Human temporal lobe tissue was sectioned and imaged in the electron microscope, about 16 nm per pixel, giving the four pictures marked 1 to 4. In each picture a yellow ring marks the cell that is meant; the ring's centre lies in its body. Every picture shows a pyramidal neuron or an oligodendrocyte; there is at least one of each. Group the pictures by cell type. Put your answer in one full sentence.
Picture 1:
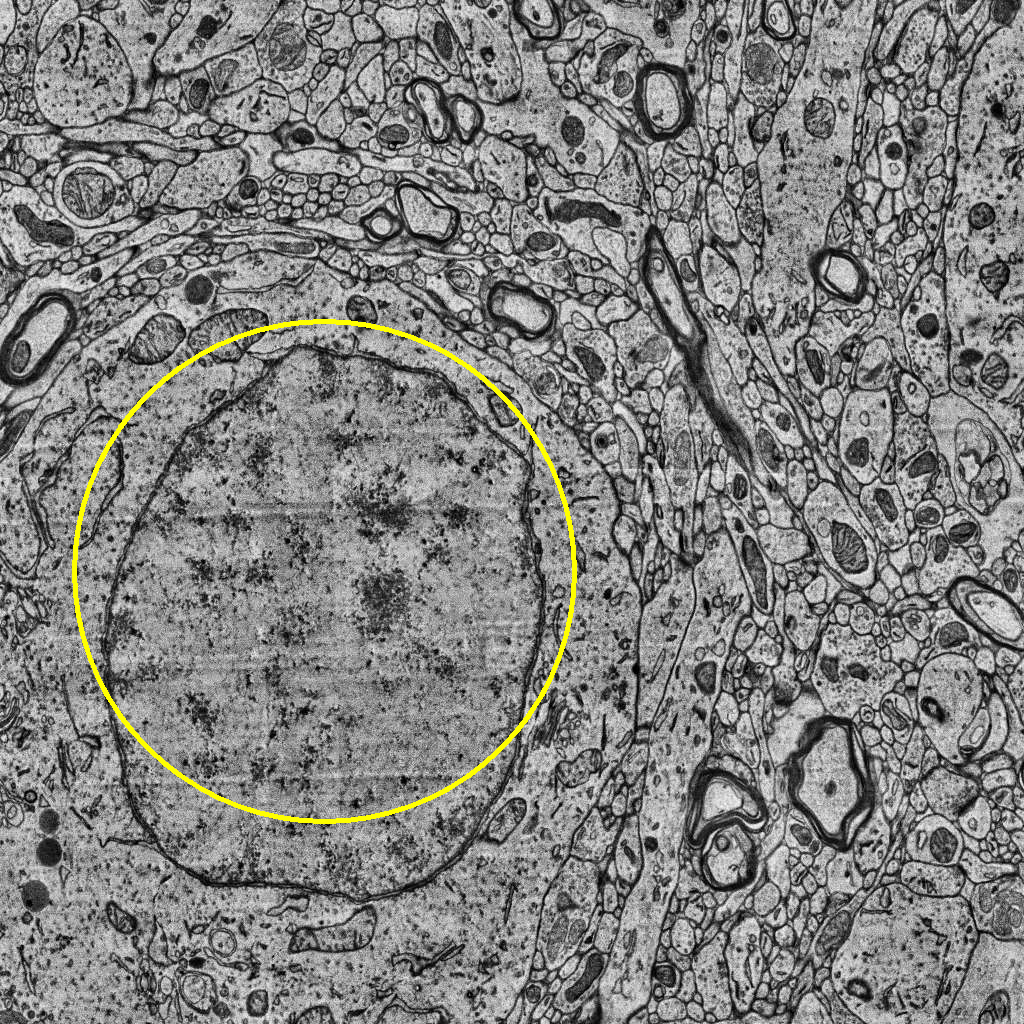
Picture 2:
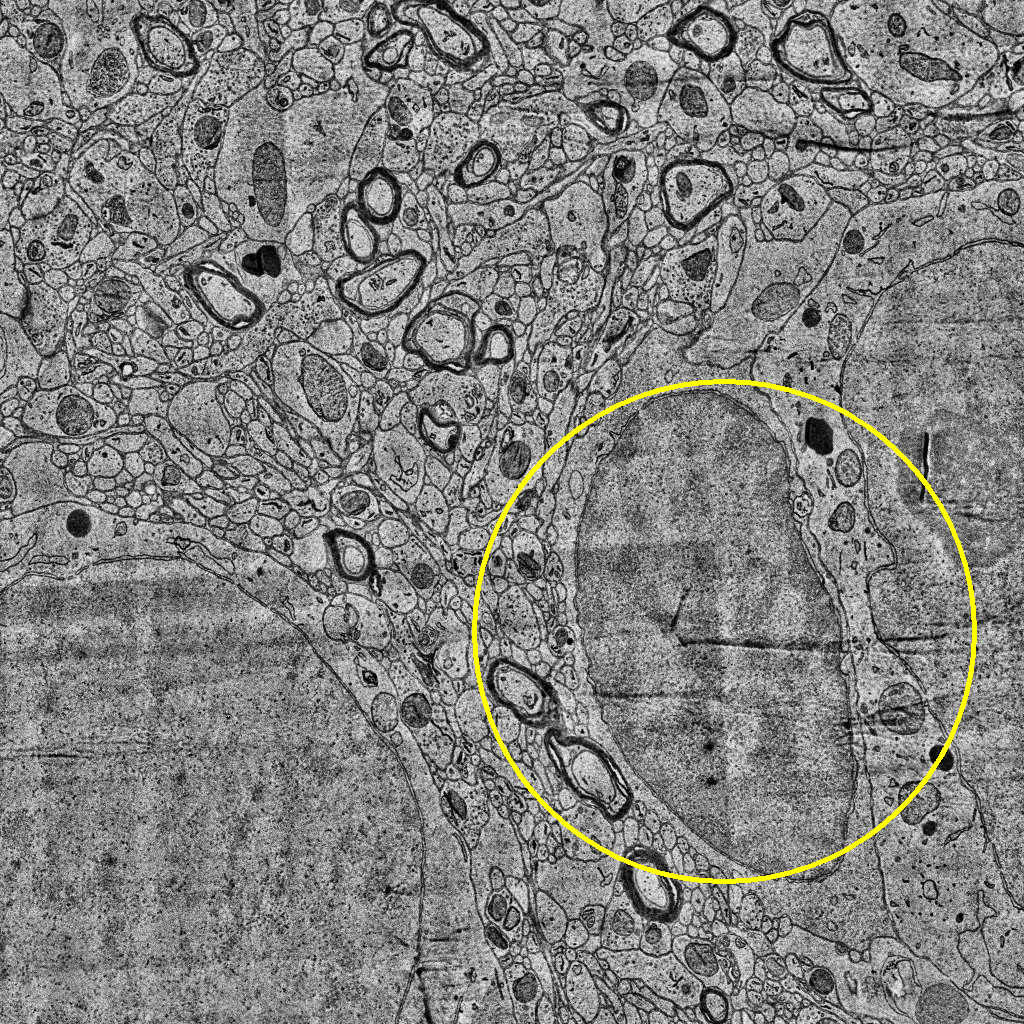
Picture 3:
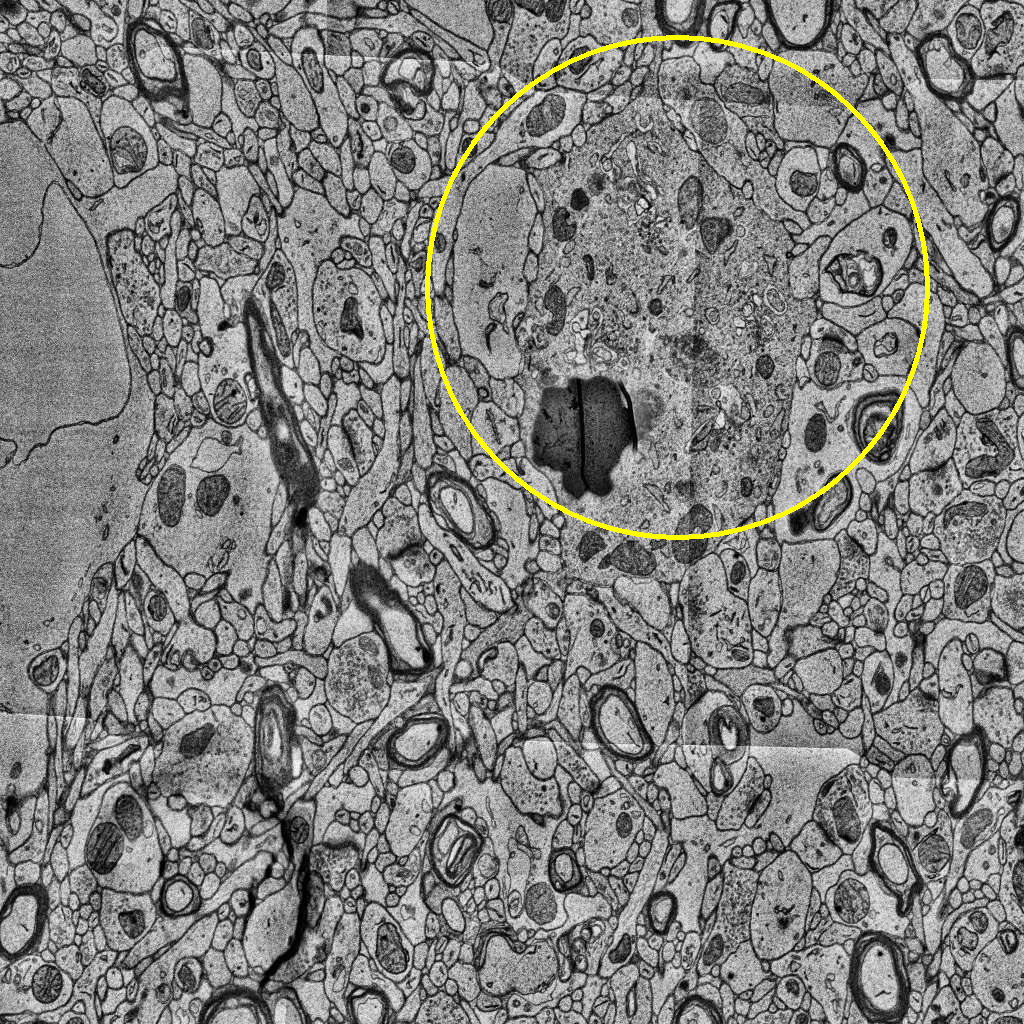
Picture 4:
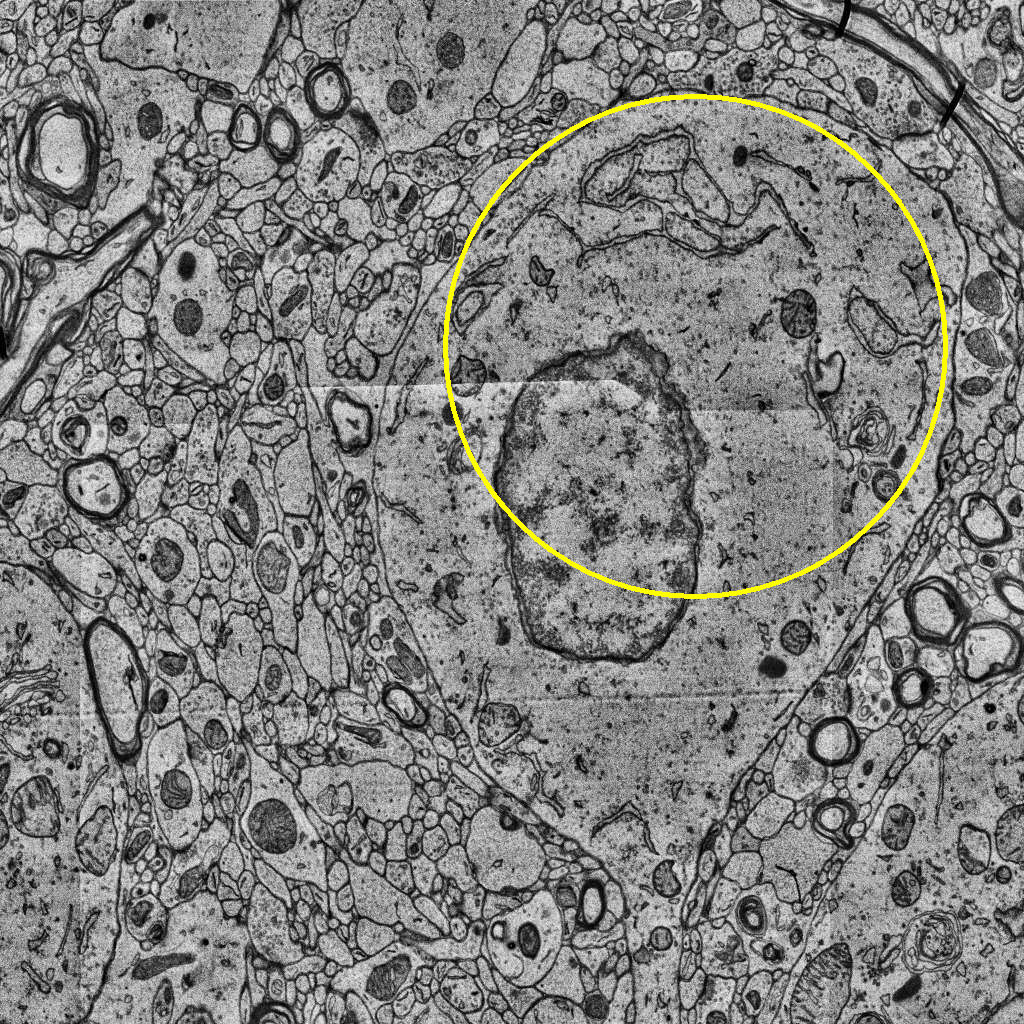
Pictures 1 and 4 show pyramidal neurons; pictures 2 and 3 show oligodendrocytes.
